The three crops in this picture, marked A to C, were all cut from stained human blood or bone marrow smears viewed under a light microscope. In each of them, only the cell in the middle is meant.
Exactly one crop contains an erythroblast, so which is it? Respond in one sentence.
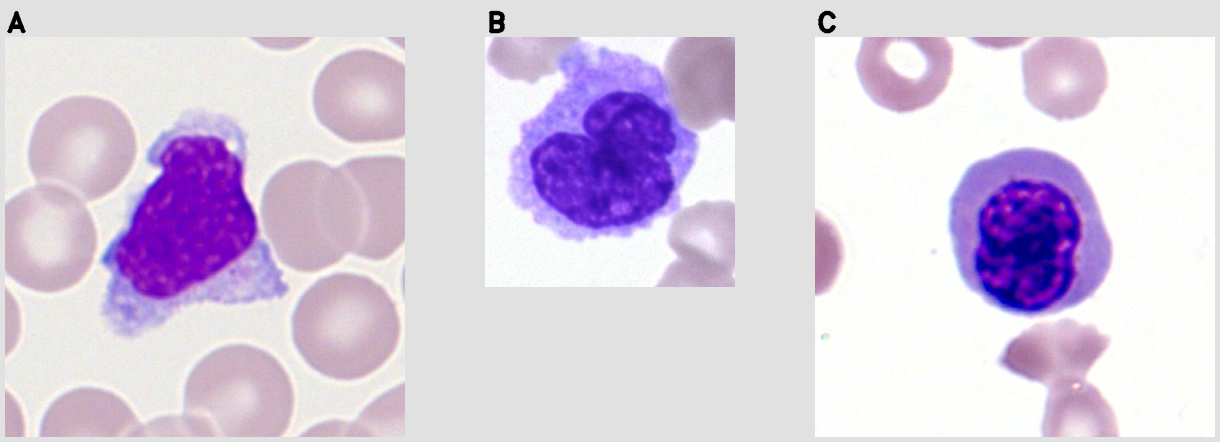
The crop with an erythroblast in it is crop C.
